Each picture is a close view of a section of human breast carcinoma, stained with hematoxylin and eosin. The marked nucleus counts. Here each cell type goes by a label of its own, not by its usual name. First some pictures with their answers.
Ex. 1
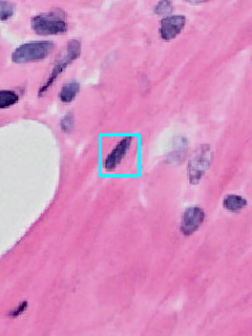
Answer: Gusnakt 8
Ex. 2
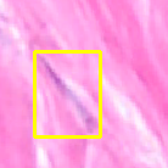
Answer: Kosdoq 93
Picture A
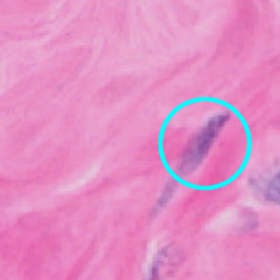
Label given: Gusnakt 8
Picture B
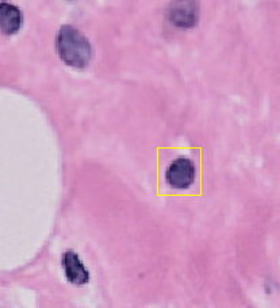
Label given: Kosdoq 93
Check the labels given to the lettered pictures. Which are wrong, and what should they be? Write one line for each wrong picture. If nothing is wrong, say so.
A is labelled Gusnakt 8; correct label: Kosdoq 93
B is labelled Kosdoq 93; correct label: Gusnakt 8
